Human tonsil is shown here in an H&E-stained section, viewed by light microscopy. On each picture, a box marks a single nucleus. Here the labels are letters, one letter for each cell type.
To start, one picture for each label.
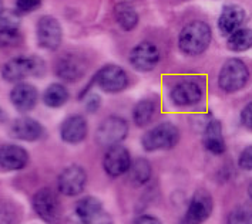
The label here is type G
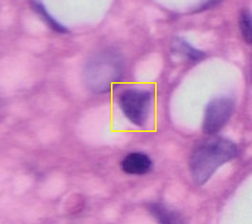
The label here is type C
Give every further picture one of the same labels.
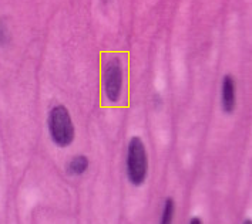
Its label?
type C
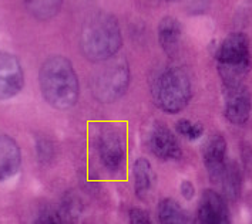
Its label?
type C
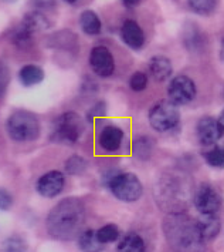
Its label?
type G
